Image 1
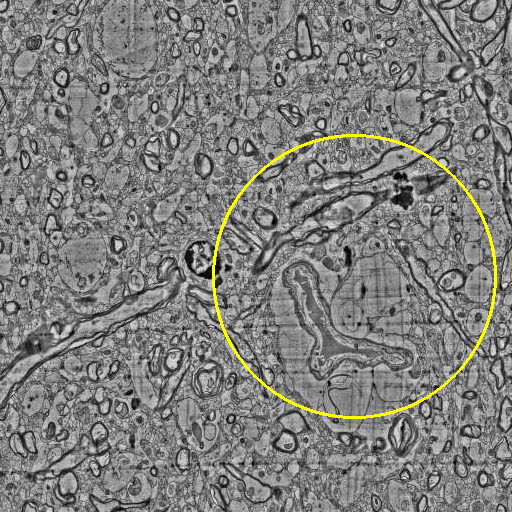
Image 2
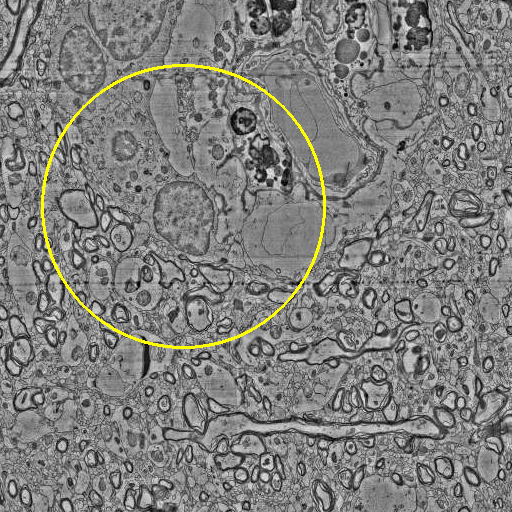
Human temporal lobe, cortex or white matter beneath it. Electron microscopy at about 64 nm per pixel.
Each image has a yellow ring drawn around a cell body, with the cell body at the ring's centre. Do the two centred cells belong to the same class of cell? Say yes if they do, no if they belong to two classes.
yes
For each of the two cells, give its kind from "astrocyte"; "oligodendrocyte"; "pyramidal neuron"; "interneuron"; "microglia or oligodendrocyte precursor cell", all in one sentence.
Each of the ringed cells, first and second, is an oligodendrocyte.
